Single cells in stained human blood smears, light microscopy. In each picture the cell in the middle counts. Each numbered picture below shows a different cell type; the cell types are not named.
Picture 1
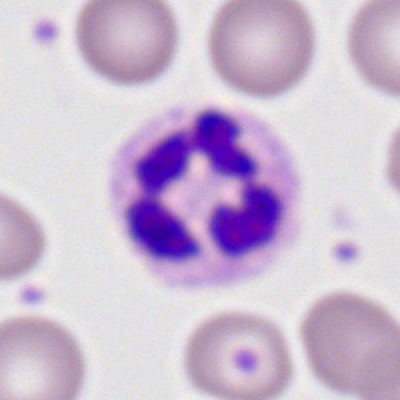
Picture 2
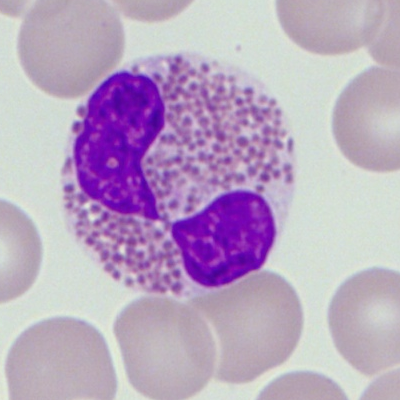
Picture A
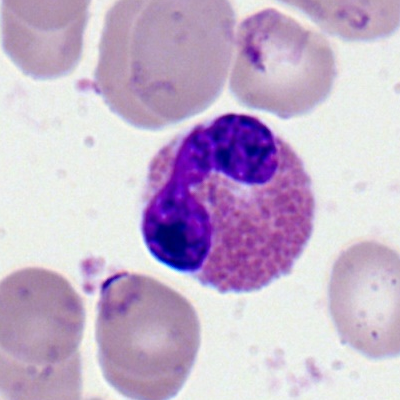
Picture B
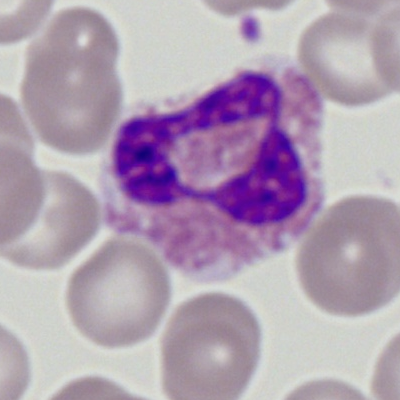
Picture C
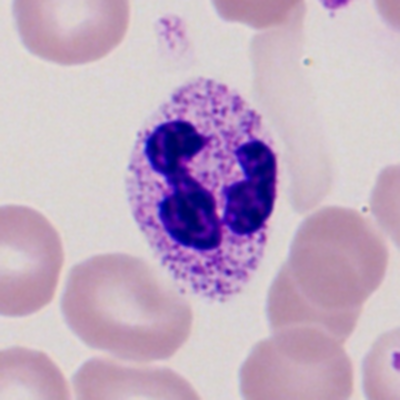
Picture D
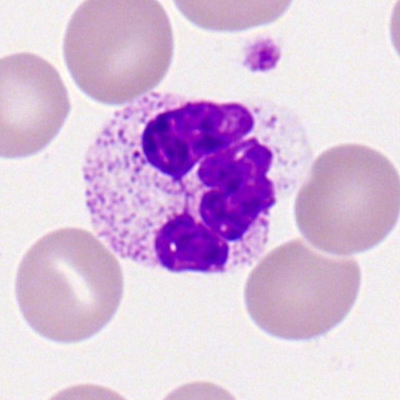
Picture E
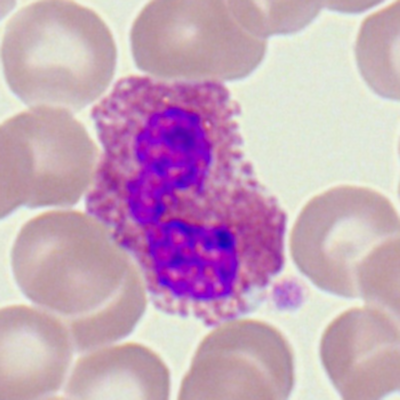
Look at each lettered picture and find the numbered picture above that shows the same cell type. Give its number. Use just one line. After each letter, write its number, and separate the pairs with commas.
A 2, B 2, C 1, D 1, E 2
